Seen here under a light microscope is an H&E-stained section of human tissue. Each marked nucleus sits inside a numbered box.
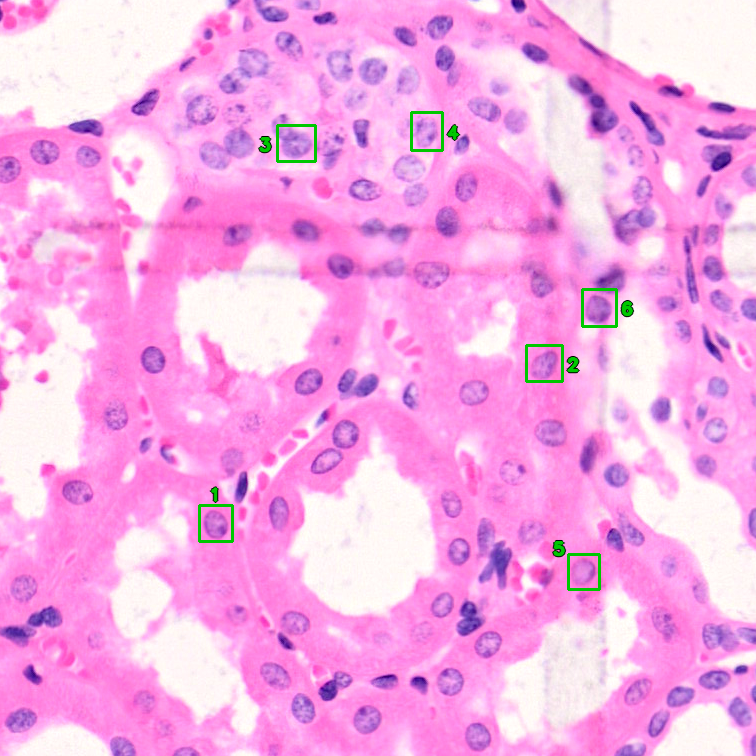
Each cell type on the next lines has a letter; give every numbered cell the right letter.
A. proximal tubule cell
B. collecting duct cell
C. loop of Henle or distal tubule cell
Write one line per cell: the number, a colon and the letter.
1: A
2: A
3: B
4: B
5: A
6: B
